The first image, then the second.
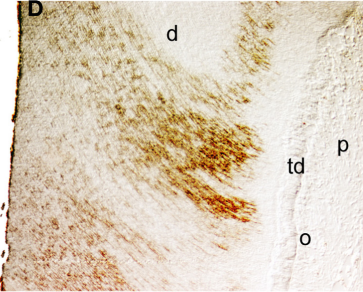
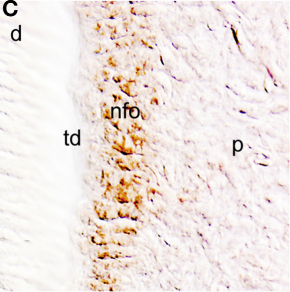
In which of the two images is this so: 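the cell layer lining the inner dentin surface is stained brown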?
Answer: The second image.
